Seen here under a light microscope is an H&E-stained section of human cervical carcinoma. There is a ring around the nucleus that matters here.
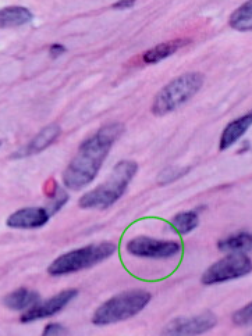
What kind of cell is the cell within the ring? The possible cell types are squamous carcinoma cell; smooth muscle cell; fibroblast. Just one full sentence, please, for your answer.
The identity of the cell within the ring is that of a fibroblast.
